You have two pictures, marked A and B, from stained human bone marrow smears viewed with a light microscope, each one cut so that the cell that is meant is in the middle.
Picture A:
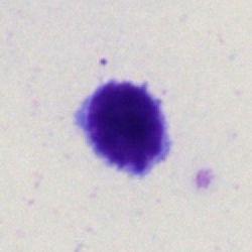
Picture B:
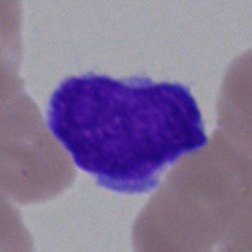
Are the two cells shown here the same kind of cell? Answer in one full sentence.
No; the cell in picture A is a lymphocyte, while the one in picture B is a blast.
